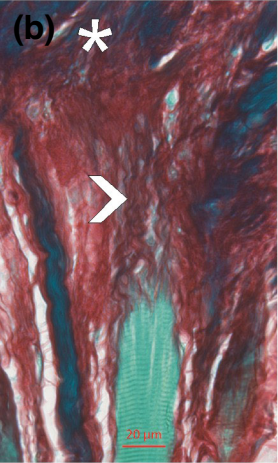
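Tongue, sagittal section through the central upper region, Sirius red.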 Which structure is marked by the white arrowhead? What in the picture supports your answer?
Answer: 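Small tendons. A green cross-striated muscle fibre ends below in red fibrous tissue. The arrowhead marks a red fibrous strand leading from the fibre end up toward the dark green tissue.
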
